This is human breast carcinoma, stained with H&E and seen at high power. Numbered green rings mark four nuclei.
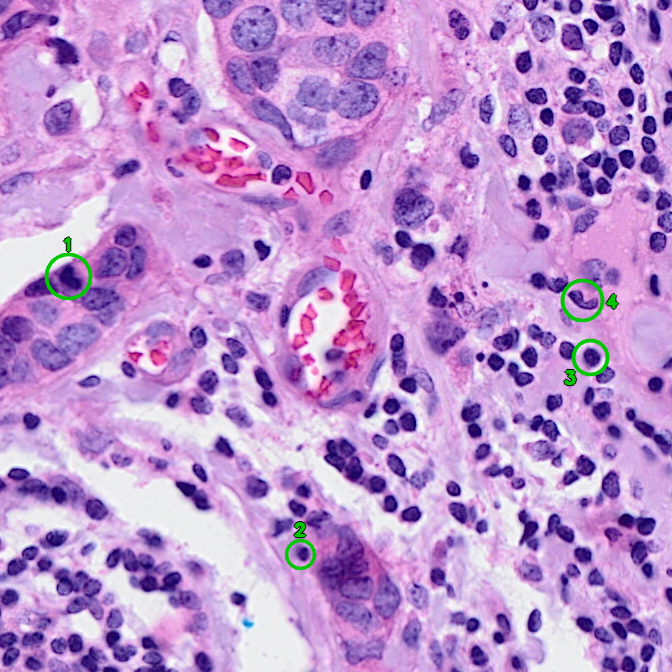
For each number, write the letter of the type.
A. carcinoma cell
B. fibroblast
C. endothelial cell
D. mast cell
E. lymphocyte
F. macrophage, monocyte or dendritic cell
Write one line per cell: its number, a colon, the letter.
1: A
2: E
3: E
4: E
